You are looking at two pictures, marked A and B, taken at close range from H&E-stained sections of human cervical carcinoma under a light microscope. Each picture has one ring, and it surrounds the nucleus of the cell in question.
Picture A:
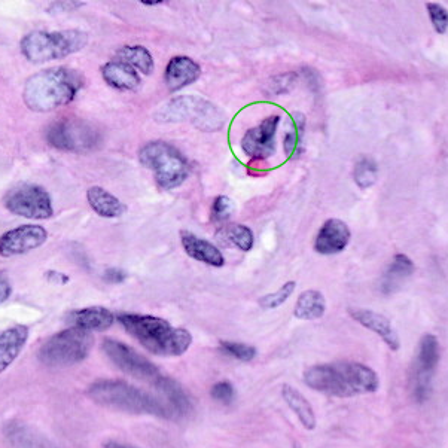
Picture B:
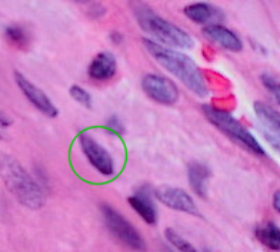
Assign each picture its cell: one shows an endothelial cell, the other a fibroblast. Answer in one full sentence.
It is picture A that shows an endothelial cell, and picture B that shows a fibroblast.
